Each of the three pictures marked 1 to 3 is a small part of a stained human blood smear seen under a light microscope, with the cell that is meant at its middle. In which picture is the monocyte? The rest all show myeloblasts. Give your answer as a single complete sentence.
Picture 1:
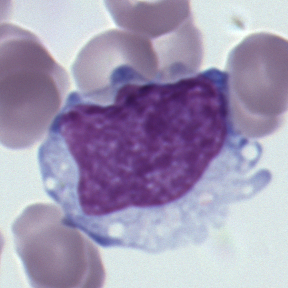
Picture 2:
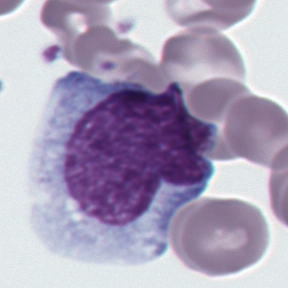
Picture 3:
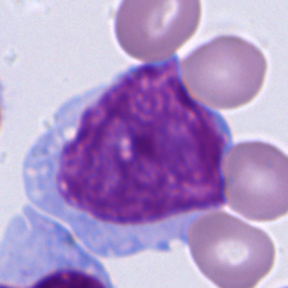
Picture 2 shows the monocyte.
